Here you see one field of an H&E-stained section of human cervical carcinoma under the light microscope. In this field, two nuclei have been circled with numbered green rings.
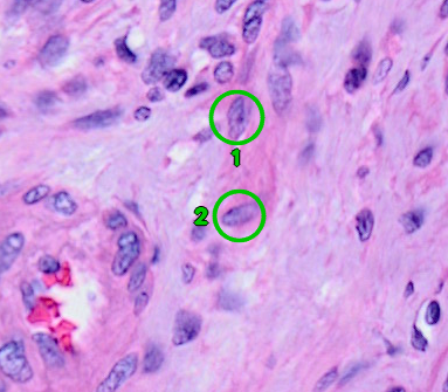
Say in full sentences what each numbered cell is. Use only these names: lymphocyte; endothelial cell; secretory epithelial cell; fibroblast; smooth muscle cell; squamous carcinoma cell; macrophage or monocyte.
Cell 1 is an endothelial cell. Cell 2 is a smooth muscle cell.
